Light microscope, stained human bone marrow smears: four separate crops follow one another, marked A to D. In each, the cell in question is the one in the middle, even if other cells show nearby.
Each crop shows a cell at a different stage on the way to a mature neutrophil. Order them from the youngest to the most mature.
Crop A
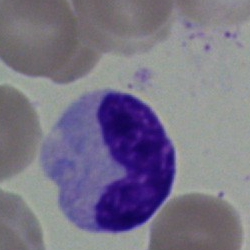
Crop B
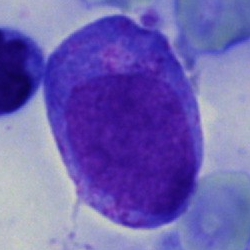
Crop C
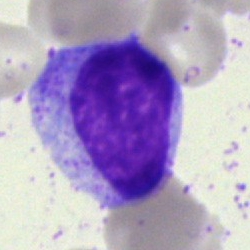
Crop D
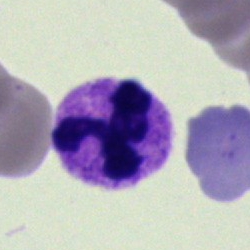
B, C, A, D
